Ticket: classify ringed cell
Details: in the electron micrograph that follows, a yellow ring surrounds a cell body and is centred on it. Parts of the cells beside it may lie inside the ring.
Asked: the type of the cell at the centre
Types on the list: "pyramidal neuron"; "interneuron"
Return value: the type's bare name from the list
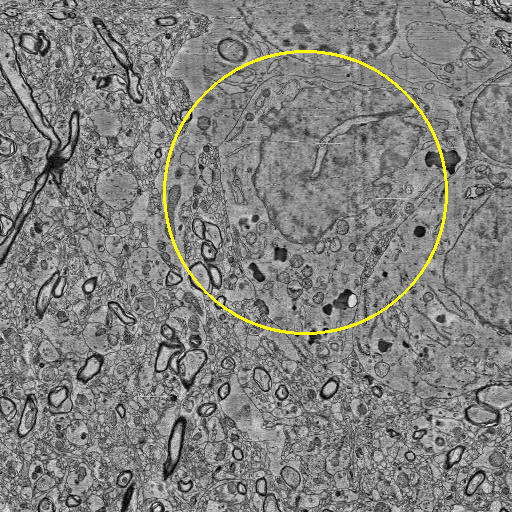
interneuron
